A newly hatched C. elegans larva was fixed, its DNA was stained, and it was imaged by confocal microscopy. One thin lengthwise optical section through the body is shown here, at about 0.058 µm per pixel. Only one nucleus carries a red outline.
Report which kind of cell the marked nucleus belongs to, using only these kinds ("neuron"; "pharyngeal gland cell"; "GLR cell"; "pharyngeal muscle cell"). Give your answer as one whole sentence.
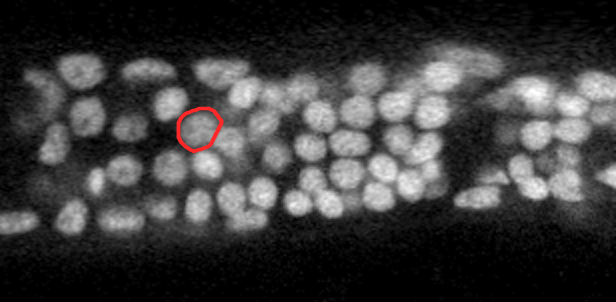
The nucleus comes from a pharyngeal gland cell.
